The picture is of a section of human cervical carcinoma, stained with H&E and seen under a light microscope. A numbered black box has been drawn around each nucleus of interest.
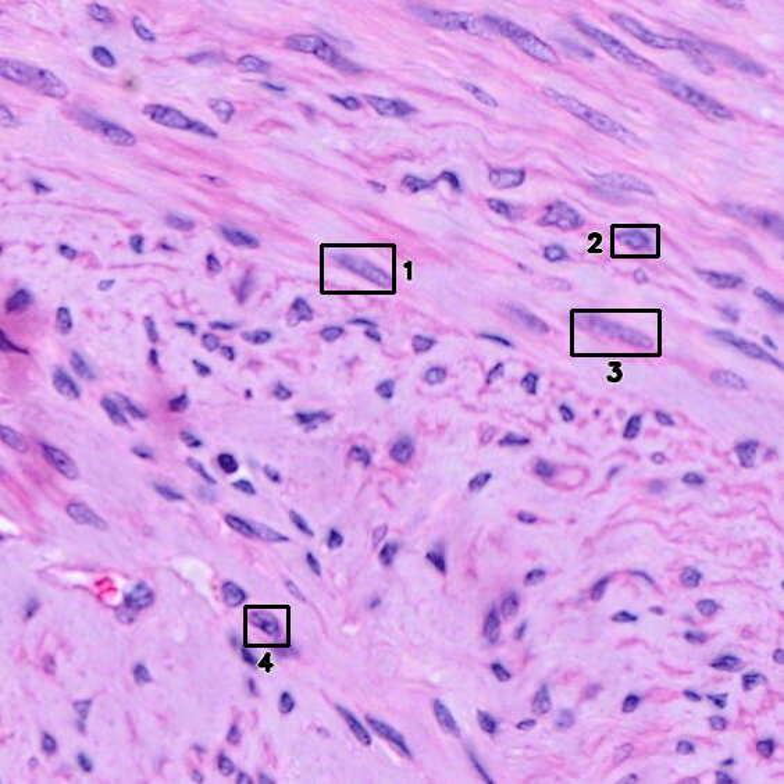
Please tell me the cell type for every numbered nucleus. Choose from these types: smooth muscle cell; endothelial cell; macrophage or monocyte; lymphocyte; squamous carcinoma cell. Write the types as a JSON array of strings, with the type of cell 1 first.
["smooth muscle cell", "smooth muscle cell", "smooth muscle cell", "endothelial cell"]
